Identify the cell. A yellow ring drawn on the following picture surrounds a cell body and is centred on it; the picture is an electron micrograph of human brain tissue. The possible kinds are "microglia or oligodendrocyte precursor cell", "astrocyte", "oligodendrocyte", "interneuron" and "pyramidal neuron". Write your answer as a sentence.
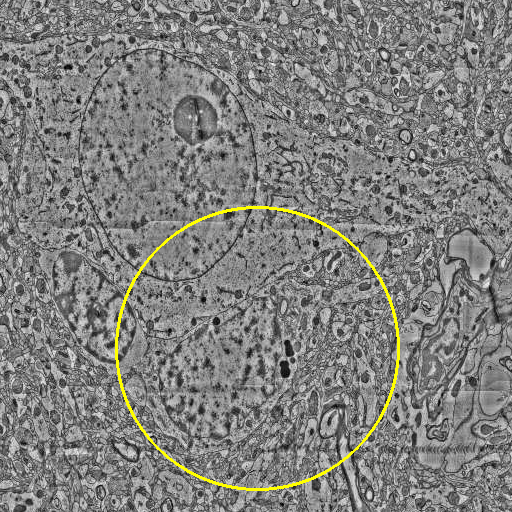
The cell identified by the ring is an interneuron.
